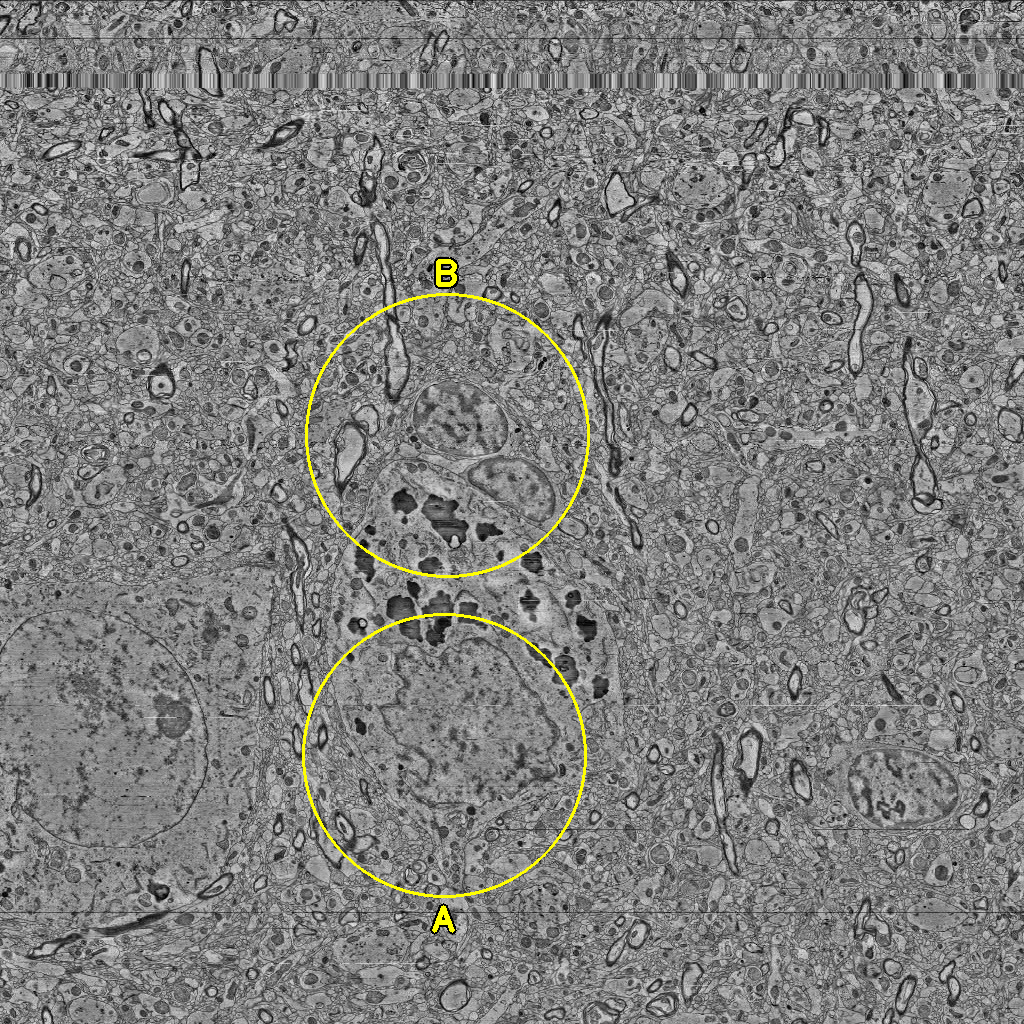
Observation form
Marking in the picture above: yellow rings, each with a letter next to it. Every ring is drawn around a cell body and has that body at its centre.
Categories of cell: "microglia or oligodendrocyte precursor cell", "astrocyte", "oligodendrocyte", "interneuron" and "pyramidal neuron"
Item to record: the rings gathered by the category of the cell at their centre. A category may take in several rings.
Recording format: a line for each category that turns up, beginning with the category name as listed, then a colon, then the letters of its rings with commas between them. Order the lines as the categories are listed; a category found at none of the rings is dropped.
microglia or oligodendrocyte precursor cell: B
interneuron: A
